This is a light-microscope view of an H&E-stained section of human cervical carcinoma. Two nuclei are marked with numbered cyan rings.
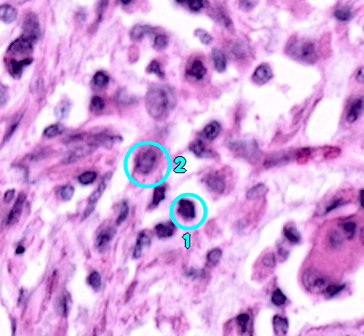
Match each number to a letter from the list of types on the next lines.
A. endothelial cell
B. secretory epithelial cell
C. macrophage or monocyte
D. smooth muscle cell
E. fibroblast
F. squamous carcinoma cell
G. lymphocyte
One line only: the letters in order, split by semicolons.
G; C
